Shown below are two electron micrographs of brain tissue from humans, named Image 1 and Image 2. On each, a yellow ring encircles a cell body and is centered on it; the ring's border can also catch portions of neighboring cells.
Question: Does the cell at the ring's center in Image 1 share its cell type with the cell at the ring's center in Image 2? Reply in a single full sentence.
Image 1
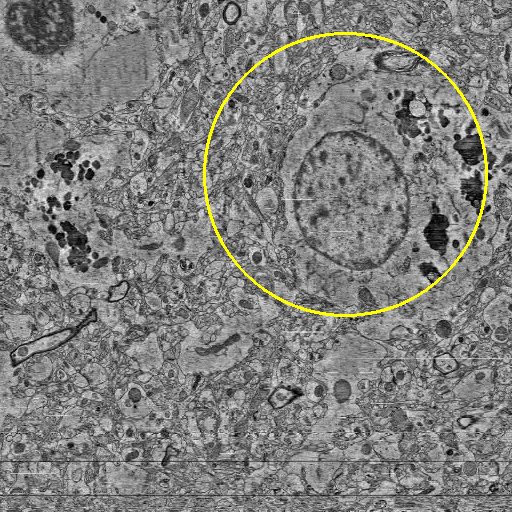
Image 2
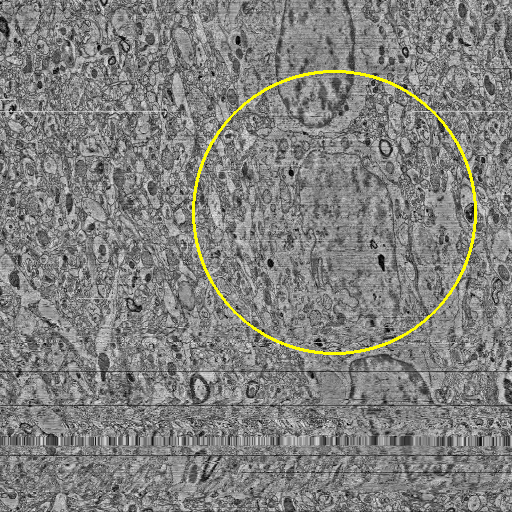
No, the two cells at the ring centers, in Image 1 and Image 2, are of two cell types.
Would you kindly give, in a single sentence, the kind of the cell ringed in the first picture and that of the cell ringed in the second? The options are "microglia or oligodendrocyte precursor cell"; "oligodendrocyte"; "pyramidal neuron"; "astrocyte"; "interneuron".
The second cell is an interneuron, and the first cell is an astrocyte.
